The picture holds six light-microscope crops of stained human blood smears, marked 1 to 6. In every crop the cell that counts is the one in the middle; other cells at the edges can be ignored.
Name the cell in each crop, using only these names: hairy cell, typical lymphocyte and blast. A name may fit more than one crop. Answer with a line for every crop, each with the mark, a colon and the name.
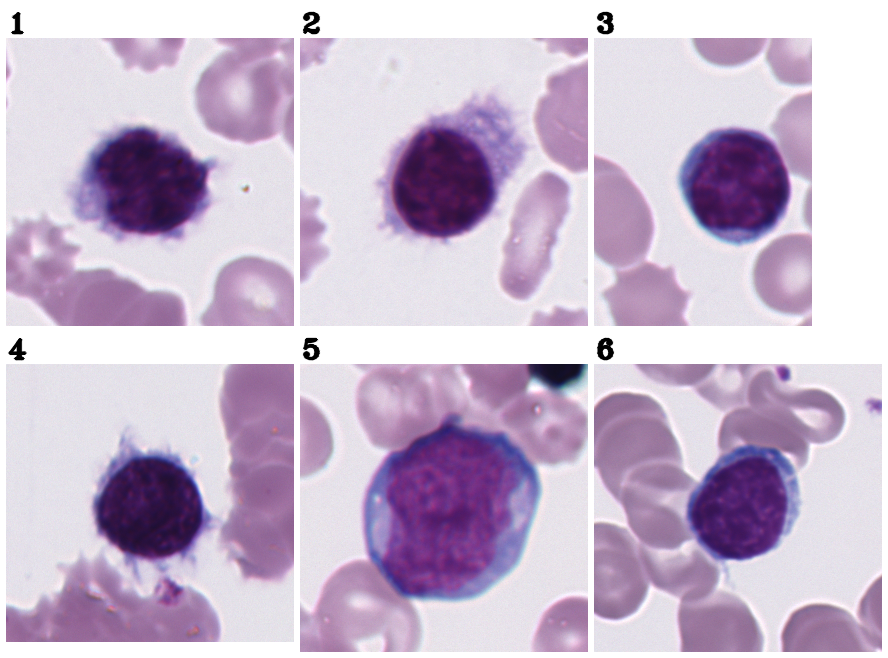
1: hairy cell
2: hairy cell
3: typical lymphocyte
4: hairy cell
5: blast
6: typical lymphocyte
